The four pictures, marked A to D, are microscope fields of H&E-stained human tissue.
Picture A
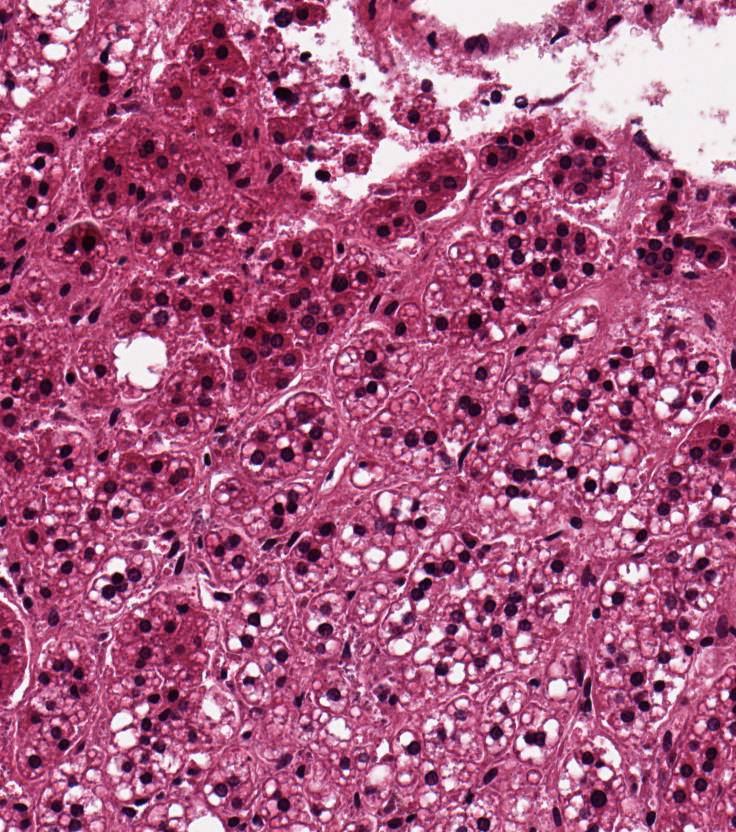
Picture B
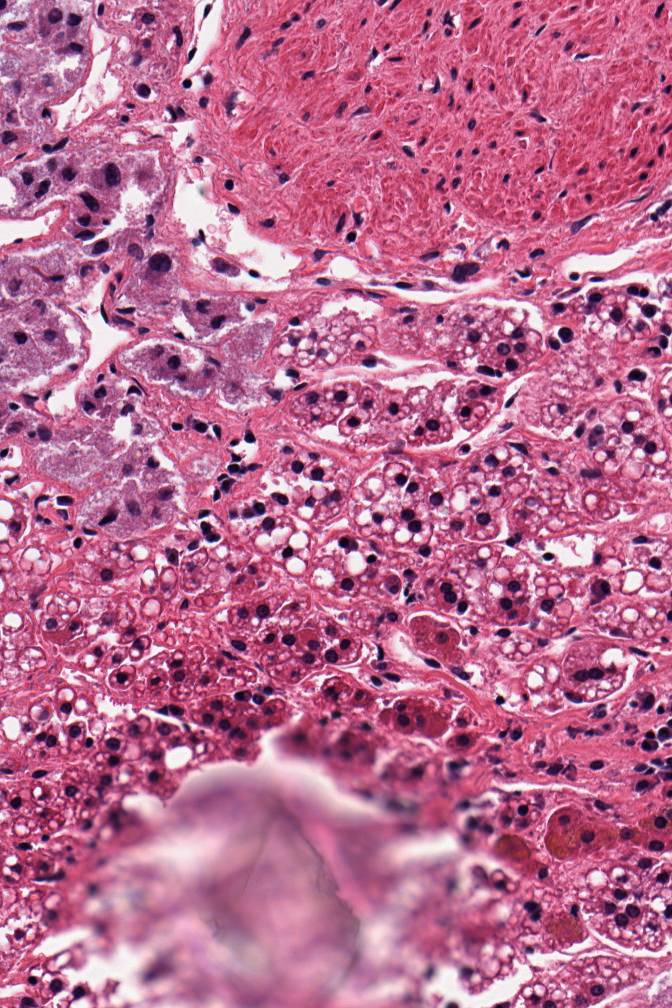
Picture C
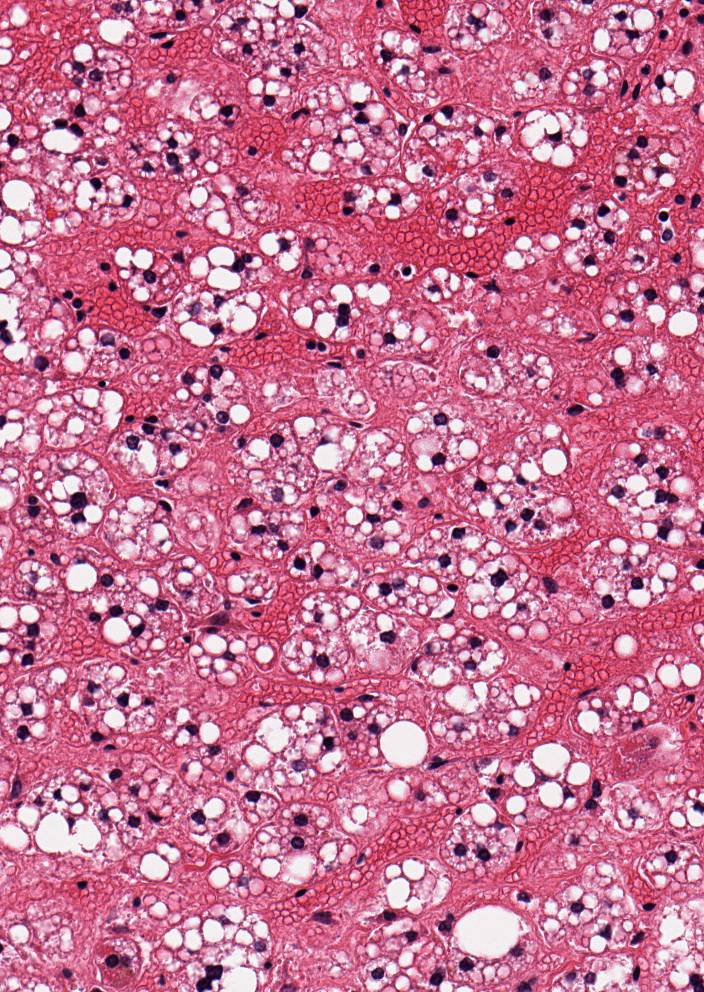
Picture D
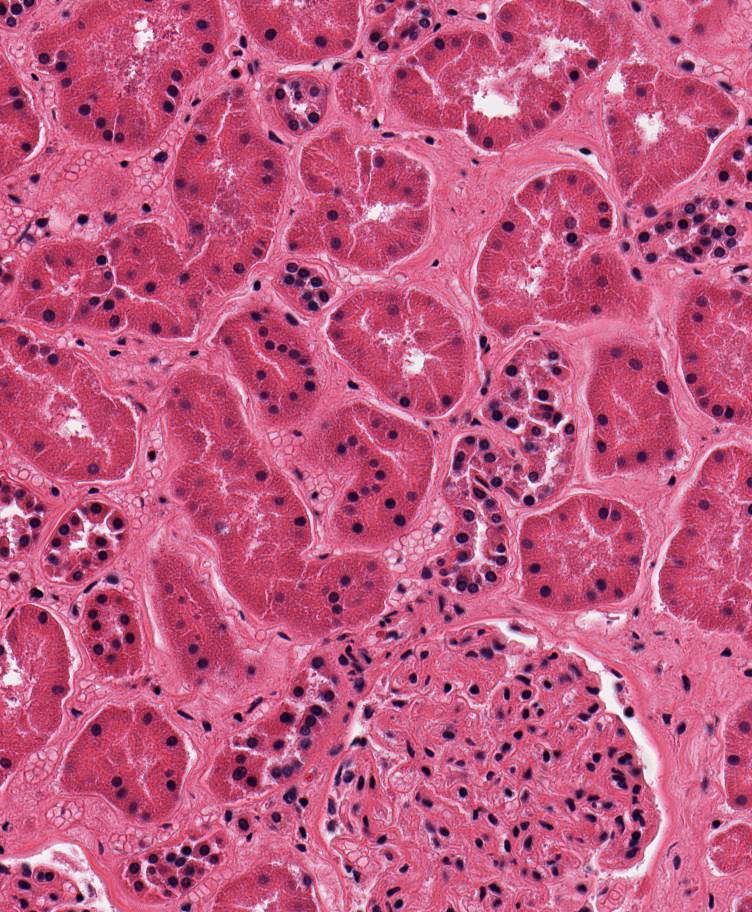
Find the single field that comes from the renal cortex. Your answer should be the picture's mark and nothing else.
D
